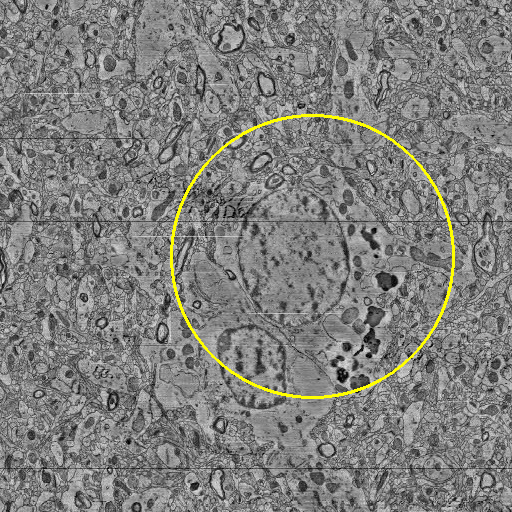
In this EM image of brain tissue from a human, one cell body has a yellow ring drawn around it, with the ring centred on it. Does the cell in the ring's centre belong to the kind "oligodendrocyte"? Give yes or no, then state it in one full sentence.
No, in the picture, the cell centred in the yellow ring belongs to another kind.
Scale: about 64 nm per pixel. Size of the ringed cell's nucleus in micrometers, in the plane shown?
The nucleus has a long axis of about 10 micrometres and a short axis of about 7 micrometres in this plane.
